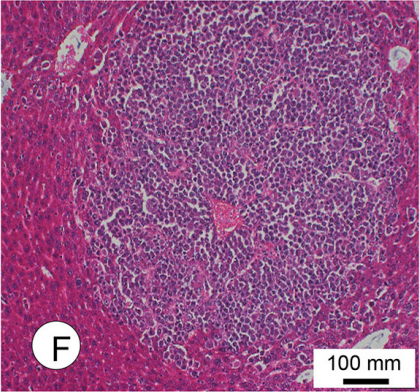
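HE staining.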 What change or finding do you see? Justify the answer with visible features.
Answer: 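A rounded nodule of densely packed cells with dark nuclei lies within the tissue. The nodule is surrounded by plates of pink polygonal cells. The nodule cells have scant cytoplasm, unlike the surrounding cells. That points to this answer: Micrometastasis.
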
